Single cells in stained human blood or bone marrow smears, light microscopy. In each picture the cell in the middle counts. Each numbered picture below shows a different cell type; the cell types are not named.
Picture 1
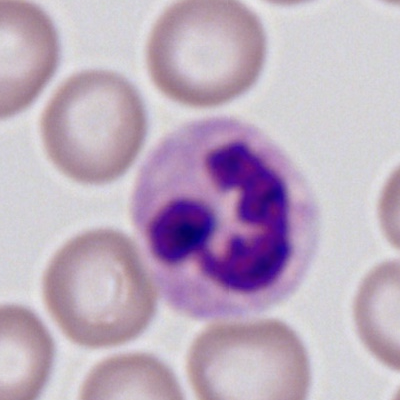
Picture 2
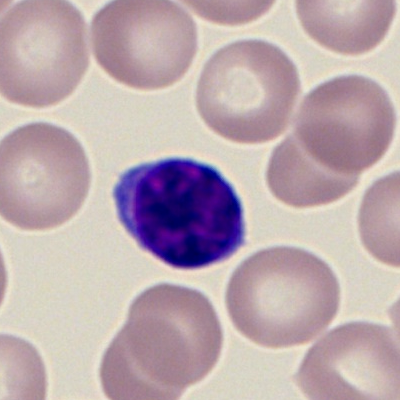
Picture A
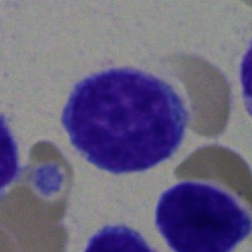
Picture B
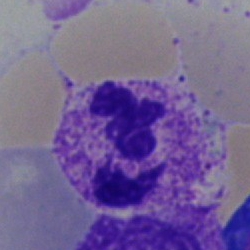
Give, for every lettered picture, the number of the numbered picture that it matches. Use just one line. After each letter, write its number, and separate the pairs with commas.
A 2, B 1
